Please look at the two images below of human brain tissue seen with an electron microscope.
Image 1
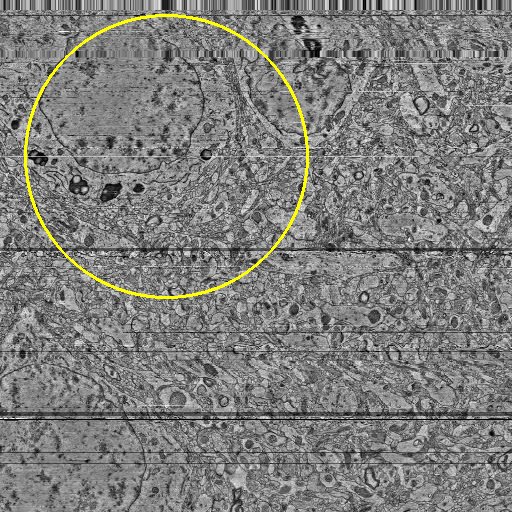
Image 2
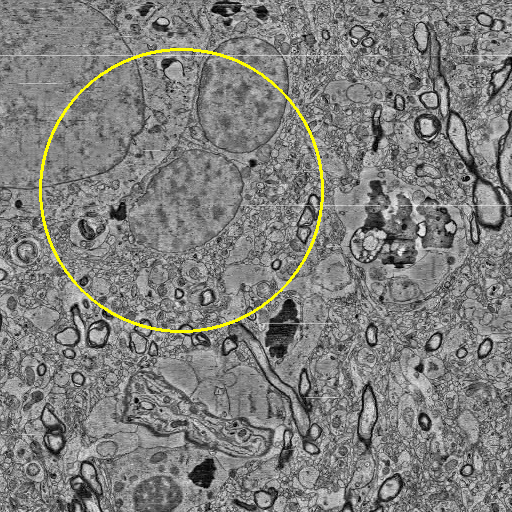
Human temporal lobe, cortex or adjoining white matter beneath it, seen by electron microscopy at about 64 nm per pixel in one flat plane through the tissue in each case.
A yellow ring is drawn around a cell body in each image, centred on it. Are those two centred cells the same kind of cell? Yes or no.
no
